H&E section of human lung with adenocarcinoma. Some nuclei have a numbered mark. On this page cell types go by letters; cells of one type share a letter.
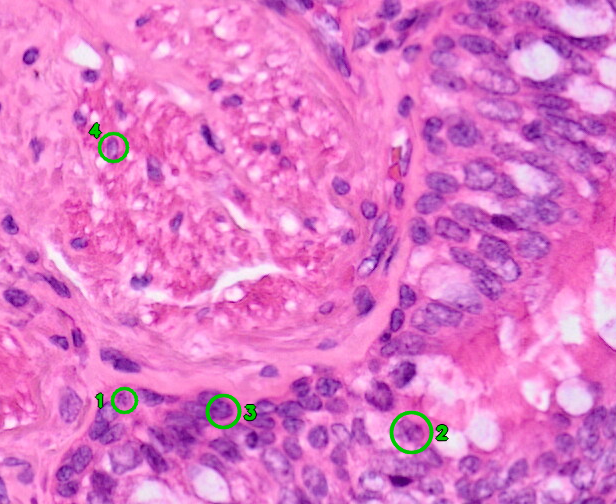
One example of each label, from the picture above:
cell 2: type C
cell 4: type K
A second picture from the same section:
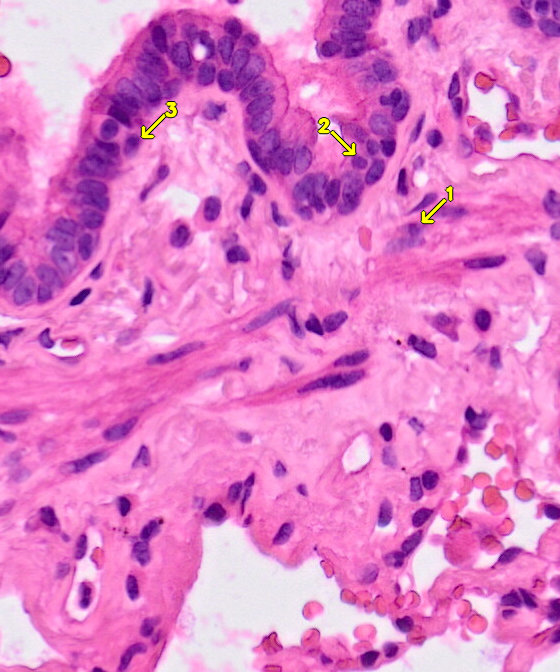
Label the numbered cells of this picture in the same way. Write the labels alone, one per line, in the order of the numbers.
type K
type C
type C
